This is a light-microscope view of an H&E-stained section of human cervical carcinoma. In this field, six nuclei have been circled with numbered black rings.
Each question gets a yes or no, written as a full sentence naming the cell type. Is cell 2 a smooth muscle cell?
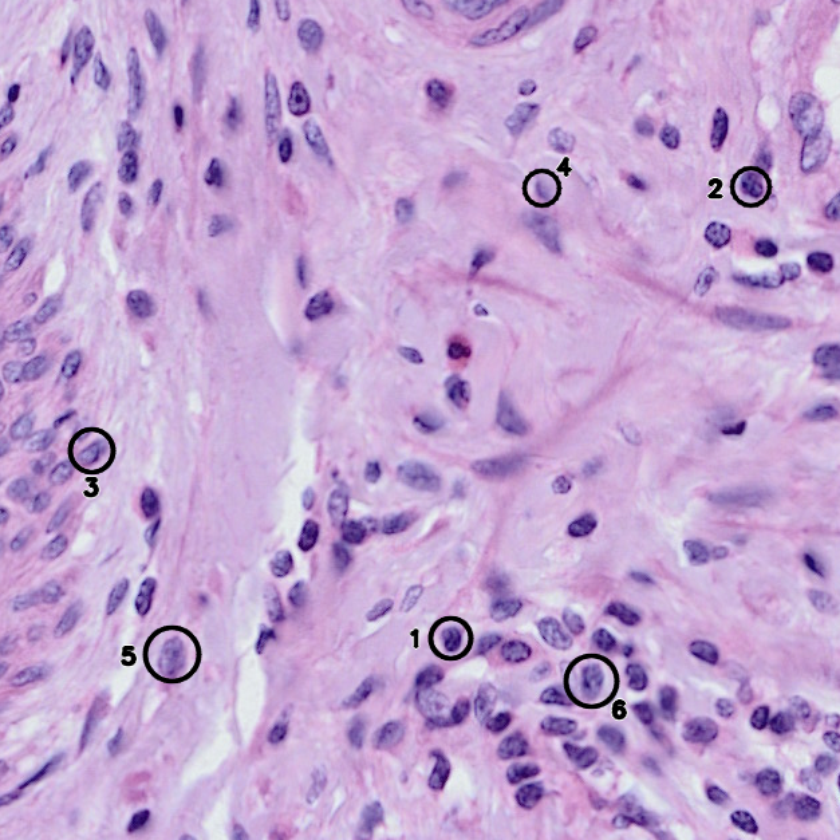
No, for cell 2, the correct identification is a lymphocyte instead of a smooth muscle cell.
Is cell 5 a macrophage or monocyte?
Yes, cell number 5 is identified here as a macrophage or monocyte.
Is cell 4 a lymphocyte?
No, the cell at number 4 is a fibroblast instead of a lymphocyte.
